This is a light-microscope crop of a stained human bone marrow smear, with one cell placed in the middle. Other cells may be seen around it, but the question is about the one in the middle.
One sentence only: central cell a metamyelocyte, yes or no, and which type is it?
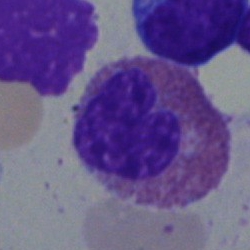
No, that would be an eosinophil, not a metamyelocyte, for the cell at the centre.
